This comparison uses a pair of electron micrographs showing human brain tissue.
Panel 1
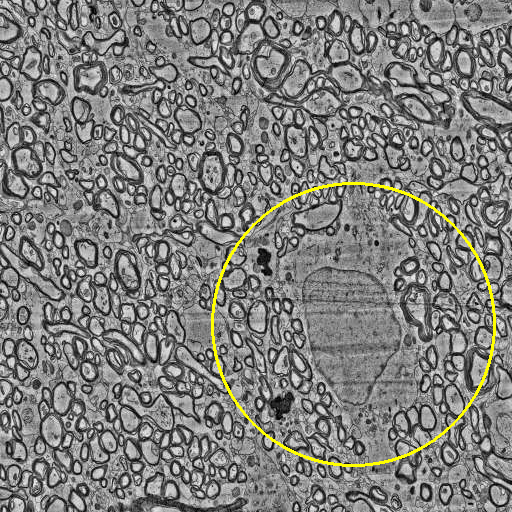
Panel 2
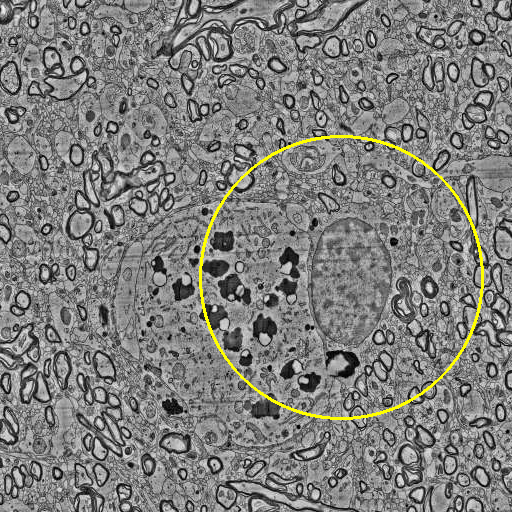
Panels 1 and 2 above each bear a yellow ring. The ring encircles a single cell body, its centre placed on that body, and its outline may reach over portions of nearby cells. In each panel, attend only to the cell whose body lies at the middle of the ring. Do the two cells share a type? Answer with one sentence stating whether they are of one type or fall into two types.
In Panel 1 and Panel 2, the cells at the centres of the rings fall into two types.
